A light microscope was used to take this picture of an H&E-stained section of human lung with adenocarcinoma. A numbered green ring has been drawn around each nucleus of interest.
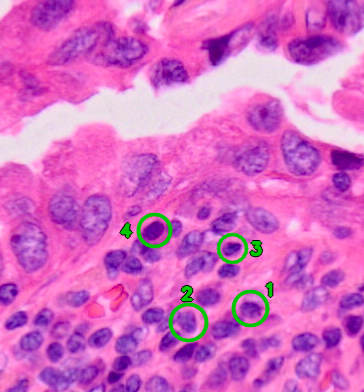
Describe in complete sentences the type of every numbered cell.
Cell 1 is a lymphocyte, cell 2 is a lymphocyte, cell 3 is a lymphocyte and cell 4 is a plasma cell.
